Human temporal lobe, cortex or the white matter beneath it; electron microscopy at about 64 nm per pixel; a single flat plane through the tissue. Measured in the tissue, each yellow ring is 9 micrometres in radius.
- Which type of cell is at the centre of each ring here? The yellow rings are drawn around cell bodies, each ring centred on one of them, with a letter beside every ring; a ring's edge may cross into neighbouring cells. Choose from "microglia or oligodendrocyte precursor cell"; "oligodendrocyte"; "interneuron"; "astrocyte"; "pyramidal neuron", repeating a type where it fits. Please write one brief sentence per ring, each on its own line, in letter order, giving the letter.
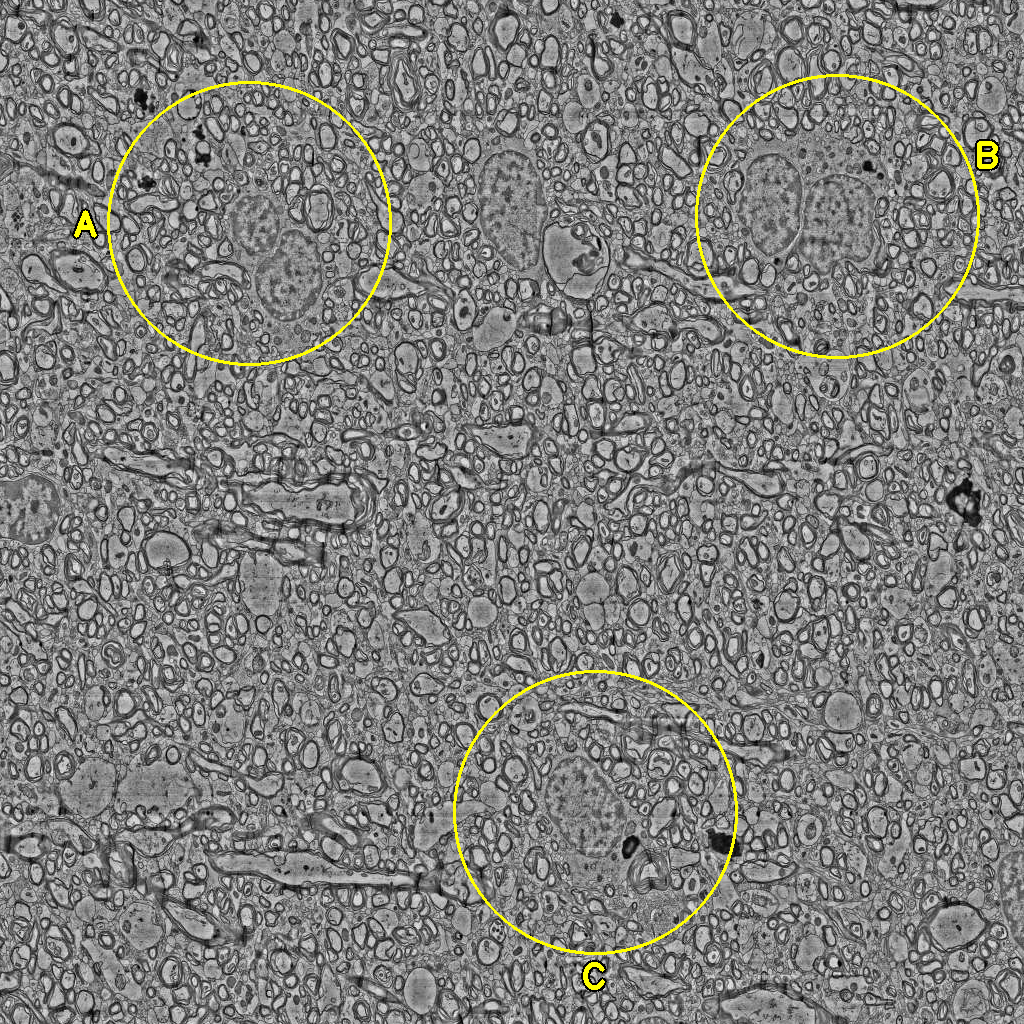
Ring A is centred over an oligodendrocyte.
Ring B is centred over an oligodendrocyte.
Ring C is centred over an oligodendrocyte.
